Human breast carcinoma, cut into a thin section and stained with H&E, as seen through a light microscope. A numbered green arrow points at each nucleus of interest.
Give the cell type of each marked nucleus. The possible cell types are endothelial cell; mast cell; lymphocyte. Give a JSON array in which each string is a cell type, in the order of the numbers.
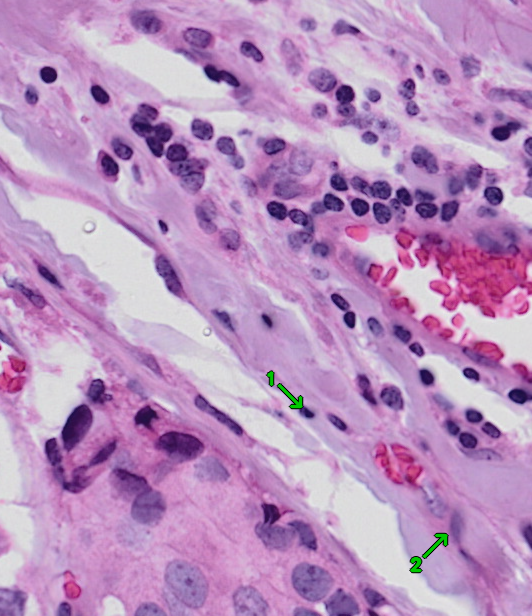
["lymphocyte", "endothelial cell"]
